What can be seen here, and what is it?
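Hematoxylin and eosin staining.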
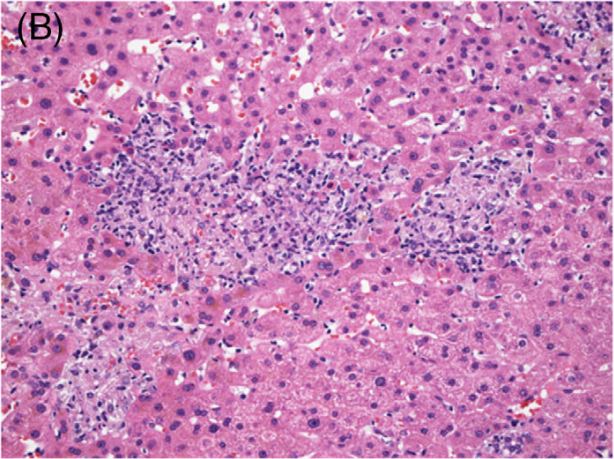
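This is liver with a focus of inflammation and necrosis among the hepatocyte plates. Large polygonal hepatocytes with abundant pink cytoplasm and round central nuclei form the background, with sinusoids holding red blood cells between the cords. In the centre the cords are broken up and replaced by a dense infiltrate: many small round cells with dark, compact nuclei and little cytoplasm, consistent with lymphocytes, mixed with larger cells having paler, more ample cytoplasm and oval nuclei, consistent with macrophages. A second, smaller cluster of the same kind lies to one side, and scattered inflammatory cells extend along the sinusoids.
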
